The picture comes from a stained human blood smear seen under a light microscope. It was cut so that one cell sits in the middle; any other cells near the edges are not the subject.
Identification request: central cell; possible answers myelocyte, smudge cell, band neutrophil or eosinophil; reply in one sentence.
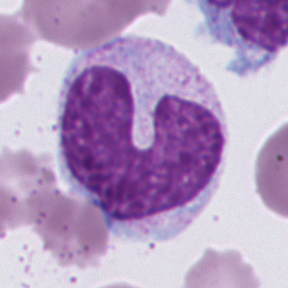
What the crop centres on is a band neutrophil.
